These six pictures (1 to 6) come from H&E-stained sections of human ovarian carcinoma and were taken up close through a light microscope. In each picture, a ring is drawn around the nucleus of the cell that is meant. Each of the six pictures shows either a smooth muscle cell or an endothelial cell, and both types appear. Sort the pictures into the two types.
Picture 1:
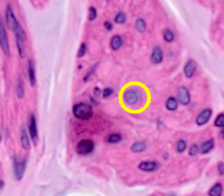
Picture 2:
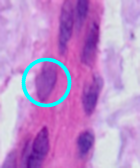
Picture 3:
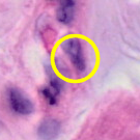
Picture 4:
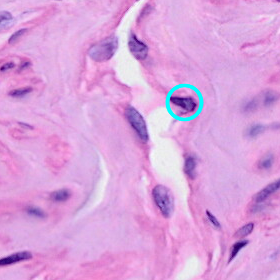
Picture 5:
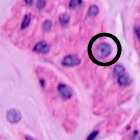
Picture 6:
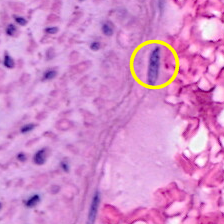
1: smooth muscle cell
2: smooth muscle cell
3: endothelial cell
4: endothelial cell
5: smooth muscle cell
6: endothelial cell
